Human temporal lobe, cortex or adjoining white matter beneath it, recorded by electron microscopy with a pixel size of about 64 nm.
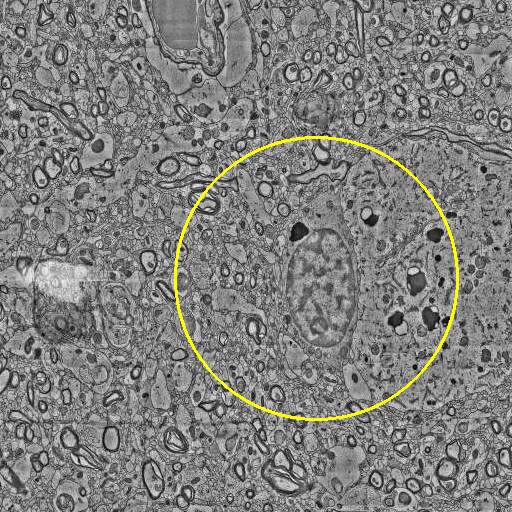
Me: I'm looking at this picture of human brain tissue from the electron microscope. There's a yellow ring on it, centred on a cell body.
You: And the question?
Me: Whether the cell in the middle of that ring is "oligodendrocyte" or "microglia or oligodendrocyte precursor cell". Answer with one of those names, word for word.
oligodendrocyte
